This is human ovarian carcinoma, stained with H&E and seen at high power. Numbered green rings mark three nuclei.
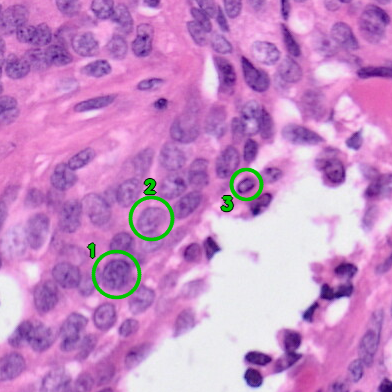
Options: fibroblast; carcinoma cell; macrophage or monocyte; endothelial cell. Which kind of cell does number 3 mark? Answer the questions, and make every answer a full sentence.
The cell identified by the number 3 is a macrophage or monocyte.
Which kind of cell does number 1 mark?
Corresponding to a carcinoma cell is the cell labelled 1.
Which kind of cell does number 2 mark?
The cell numbered 2 represents a carcinoma cell.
